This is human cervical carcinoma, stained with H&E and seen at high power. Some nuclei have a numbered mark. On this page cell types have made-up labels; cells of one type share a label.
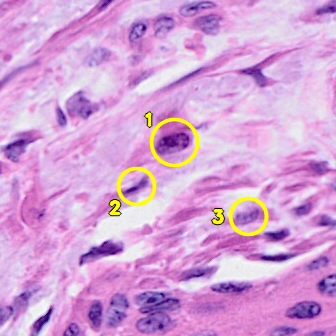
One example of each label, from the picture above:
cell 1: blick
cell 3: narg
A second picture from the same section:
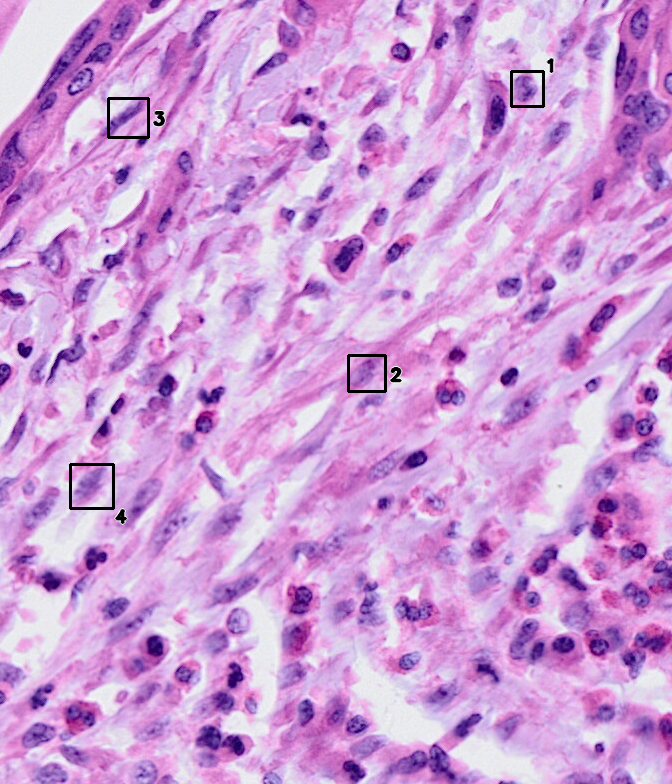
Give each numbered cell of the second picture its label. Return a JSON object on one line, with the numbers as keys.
{"1": "blick", "2": "narg", "3": "narg", "4": "narg"}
